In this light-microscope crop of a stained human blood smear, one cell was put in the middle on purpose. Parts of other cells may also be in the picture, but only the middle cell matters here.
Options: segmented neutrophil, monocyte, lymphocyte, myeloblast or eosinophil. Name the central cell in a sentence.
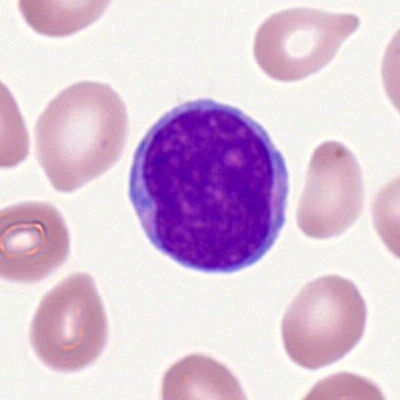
Classified as a myeloblast is the cell in the middle of this crop.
